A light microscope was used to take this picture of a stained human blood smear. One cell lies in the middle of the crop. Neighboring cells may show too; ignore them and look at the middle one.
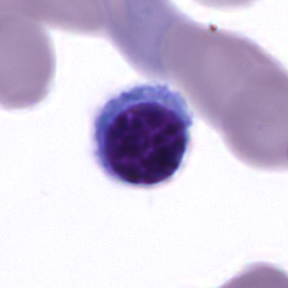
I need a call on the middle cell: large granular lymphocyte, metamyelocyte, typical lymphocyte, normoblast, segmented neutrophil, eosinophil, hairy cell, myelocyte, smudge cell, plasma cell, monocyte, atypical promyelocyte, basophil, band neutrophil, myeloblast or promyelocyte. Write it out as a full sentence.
Of the cells in this crop, the central one is a plasma cell.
